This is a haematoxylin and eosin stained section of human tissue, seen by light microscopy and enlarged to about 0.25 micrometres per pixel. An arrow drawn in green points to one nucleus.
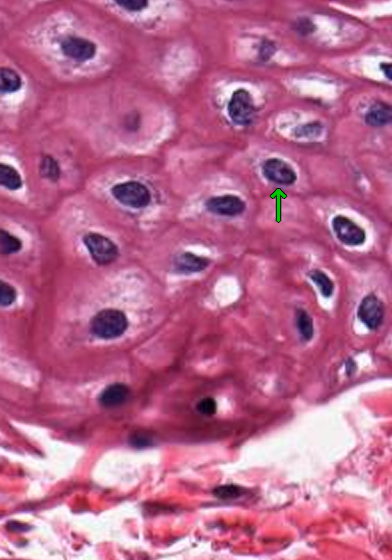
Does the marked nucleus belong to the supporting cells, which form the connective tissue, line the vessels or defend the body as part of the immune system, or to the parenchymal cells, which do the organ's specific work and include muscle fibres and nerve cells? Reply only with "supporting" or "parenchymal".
parenchymal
